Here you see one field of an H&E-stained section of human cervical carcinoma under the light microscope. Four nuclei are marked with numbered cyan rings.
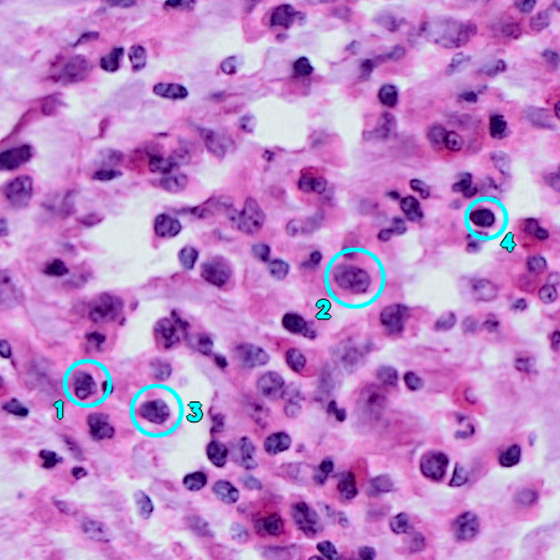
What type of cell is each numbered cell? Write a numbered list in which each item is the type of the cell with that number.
1. lymphocyte
2. macrophage or monocyte
3. lymphocyte
4. lymphocyte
